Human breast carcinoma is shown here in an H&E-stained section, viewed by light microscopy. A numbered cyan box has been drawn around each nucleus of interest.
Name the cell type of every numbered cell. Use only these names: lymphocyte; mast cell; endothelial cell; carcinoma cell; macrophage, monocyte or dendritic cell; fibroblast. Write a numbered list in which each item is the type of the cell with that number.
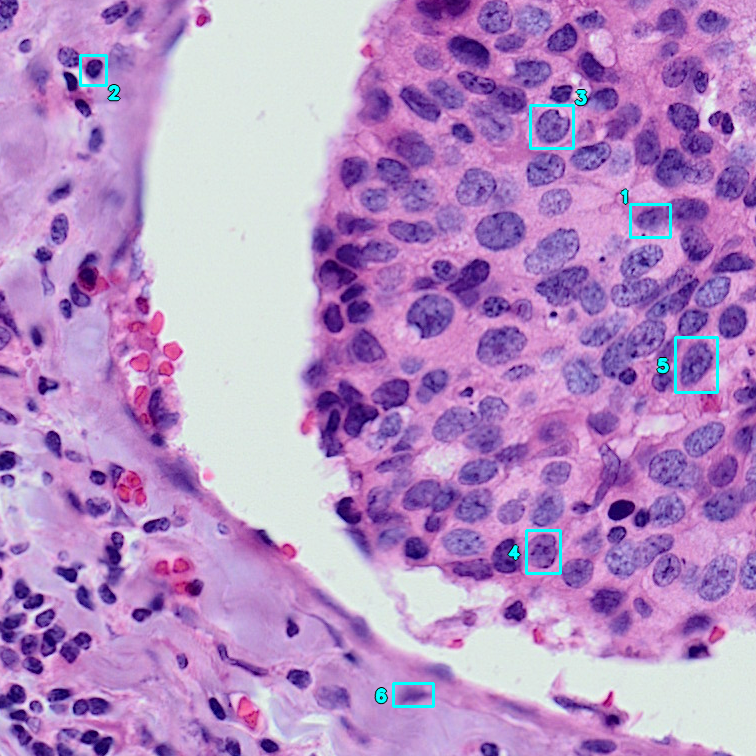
1. carcinoma cell
2. lymphocyte
3. carcinoma cell
4. carcinoma cell
5. carcinoma cell
6. fibroblast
